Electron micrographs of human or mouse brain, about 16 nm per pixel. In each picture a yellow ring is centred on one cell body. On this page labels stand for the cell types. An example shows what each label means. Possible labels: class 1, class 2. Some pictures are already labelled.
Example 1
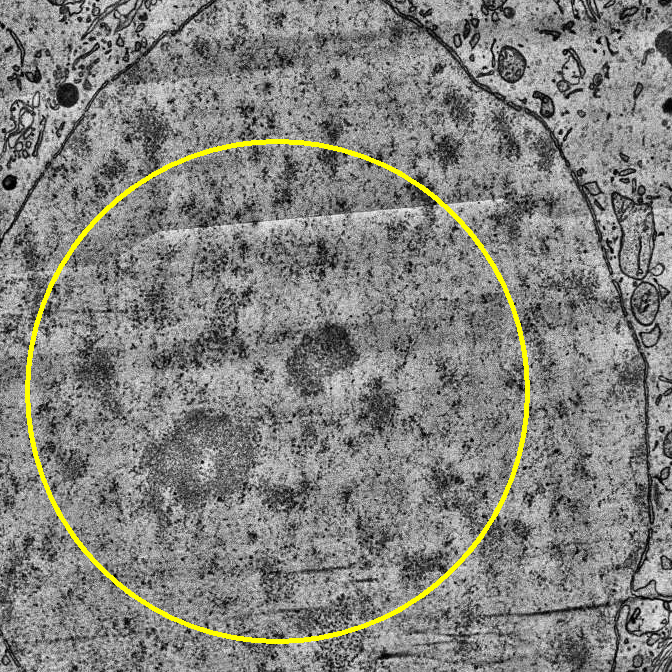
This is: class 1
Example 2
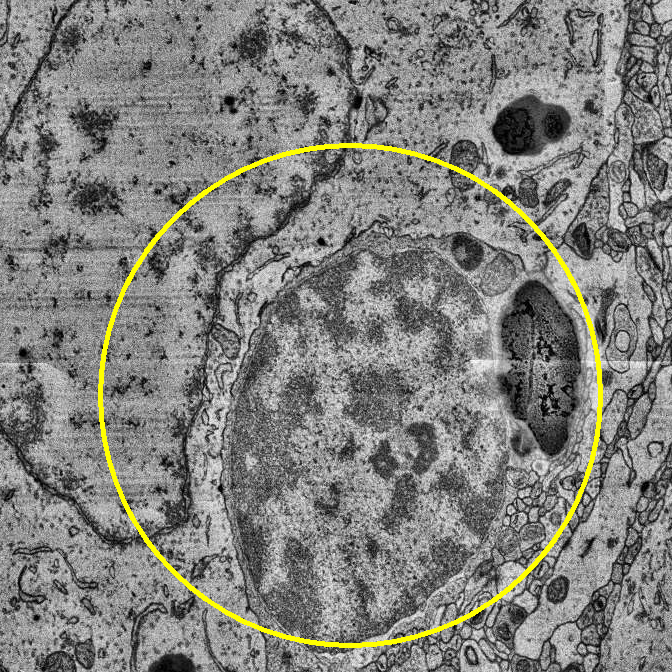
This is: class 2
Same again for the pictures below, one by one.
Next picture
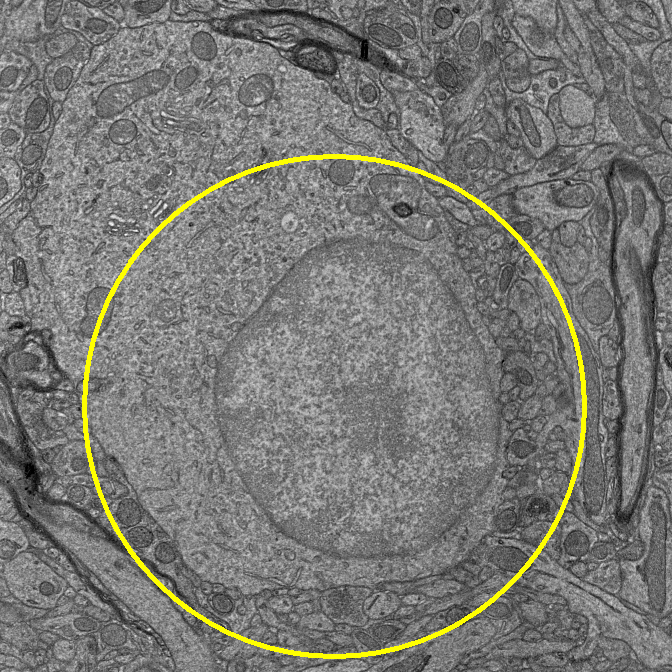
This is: class 2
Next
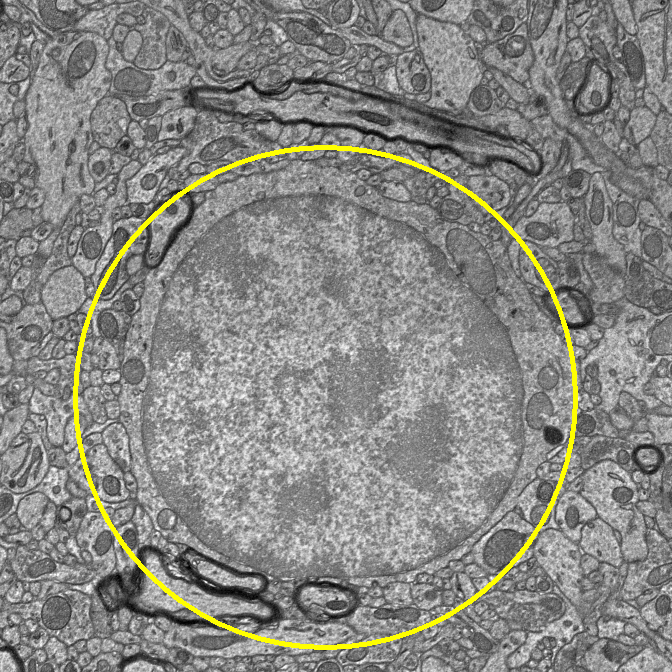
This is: class 2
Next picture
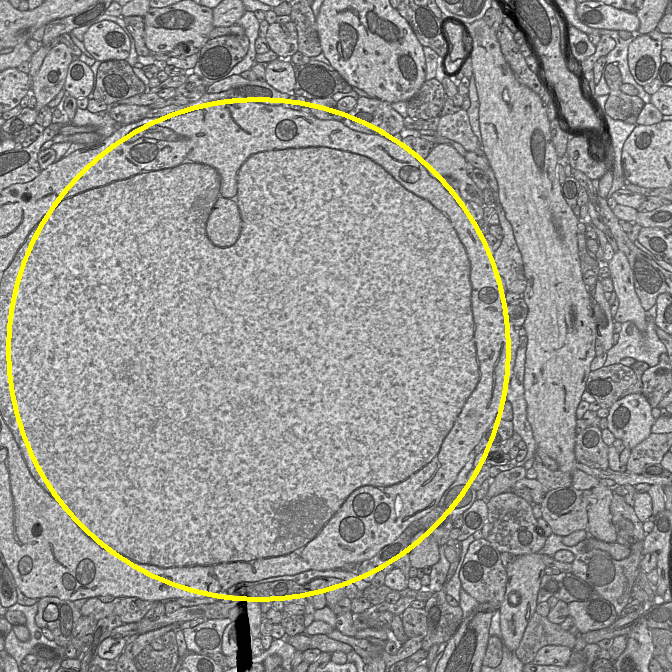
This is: class 1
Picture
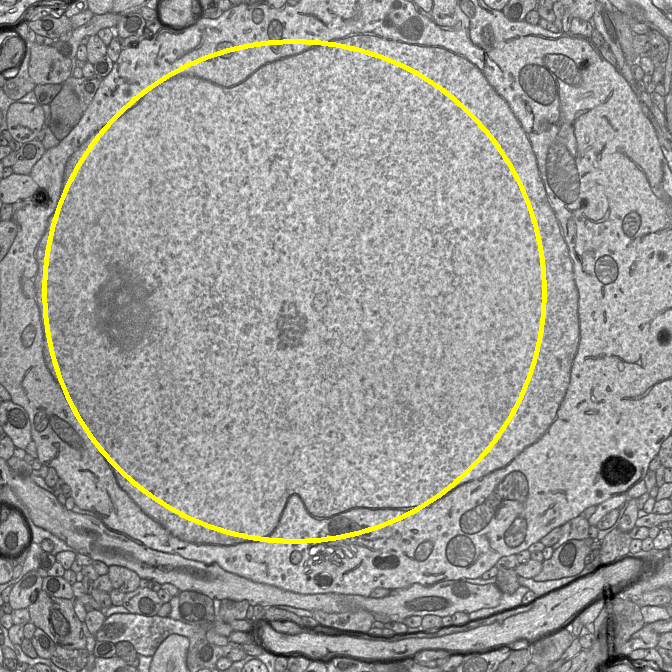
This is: class 1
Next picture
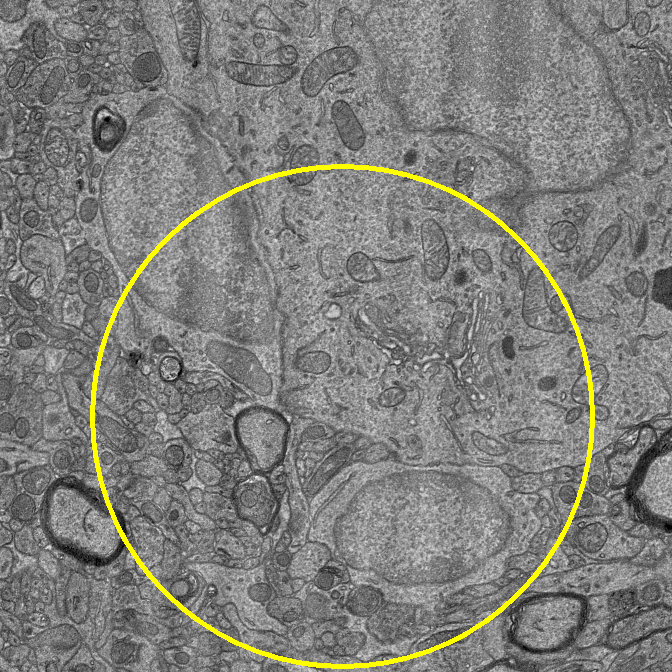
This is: class 2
